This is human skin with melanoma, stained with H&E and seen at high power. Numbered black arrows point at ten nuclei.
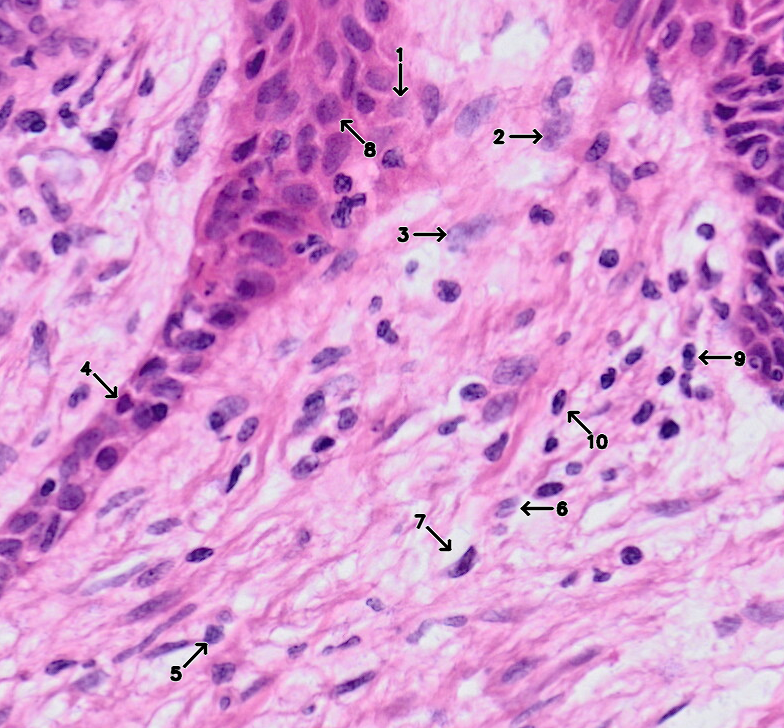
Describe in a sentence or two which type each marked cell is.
Cells 1, 4 and 8 are keratinocytes. Cells 2, 3 and 7 are fibroblasts or myofibroblasts. Cells 5, 9 and 10 are lymphocytes. Cell 6 is a macrophage or monocyte.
